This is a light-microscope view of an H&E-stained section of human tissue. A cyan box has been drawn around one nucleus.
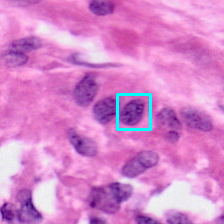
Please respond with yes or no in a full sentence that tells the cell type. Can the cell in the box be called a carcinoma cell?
Yes, the cell in the box in this section represents a carcinoma cell.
